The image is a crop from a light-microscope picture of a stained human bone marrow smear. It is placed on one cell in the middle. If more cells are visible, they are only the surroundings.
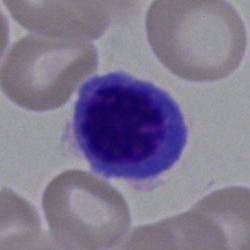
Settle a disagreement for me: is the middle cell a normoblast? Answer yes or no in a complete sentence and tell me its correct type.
Yes, centred in the crop is a normoblast.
